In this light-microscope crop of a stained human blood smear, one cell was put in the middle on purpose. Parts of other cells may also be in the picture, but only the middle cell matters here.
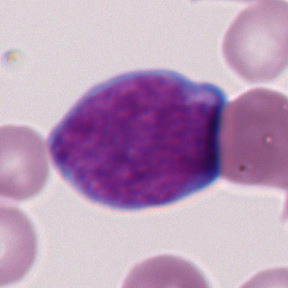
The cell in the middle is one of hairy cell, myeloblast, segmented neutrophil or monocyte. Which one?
myeloblast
